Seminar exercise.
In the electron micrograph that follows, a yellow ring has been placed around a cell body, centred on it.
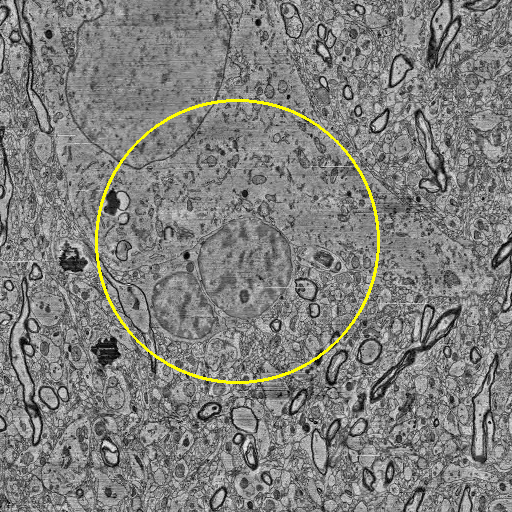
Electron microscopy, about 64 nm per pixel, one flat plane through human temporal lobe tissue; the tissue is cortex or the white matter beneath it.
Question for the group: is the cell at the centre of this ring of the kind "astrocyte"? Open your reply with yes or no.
No, the cell in the ring's centre is of another kind.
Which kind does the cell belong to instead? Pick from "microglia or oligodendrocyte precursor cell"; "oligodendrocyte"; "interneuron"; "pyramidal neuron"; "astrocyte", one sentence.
The ringed cell in this picture is, instead, an oligodendrocyte.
